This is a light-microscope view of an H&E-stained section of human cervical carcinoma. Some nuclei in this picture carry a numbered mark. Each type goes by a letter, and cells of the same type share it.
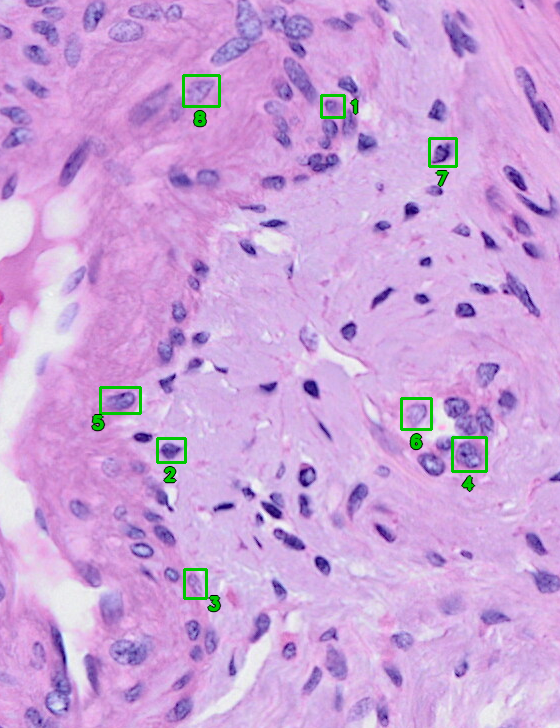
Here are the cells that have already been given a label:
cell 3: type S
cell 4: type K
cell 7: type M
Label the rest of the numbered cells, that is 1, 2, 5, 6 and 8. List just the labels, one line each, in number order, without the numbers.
type S
type M
type S
type K
type S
